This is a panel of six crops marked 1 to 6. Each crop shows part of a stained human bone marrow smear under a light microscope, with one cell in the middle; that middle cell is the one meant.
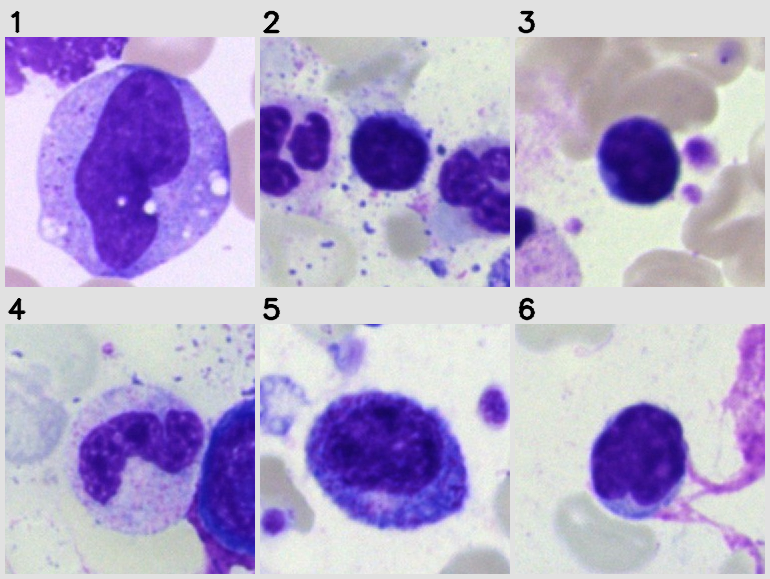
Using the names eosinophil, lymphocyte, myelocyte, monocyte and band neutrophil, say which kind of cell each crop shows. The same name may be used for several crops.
1: monocyte
2: lymphocyte
3: lymphocyte
4: band neutrophil
5: myelocyte
6: lymphocyte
